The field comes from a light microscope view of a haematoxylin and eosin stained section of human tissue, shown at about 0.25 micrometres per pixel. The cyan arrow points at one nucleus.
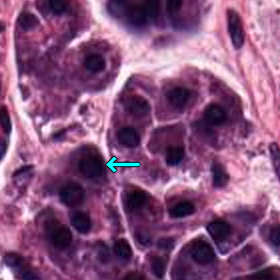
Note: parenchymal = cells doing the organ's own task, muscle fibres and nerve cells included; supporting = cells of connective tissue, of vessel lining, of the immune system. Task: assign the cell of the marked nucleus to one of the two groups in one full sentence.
It is a parenchymal cell, namely a pancreatic acinar cell, to which the marked nucleus belongs.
